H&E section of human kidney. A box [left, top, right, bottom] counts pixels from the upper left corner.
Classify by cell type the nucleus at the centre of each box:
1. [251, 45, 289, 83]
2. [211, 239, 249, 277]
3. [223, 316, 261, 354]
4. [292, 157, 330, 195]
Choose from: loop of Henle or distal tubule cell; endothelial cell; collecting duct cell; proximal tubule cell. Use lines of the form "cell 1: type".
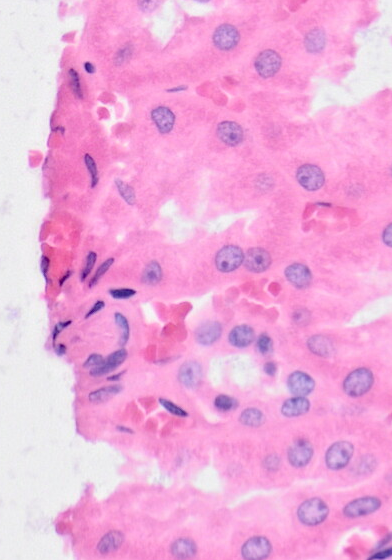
cell 1: proximal tubule cell
cell 2: proximal tubule cell
cell 3: collecting duct cell
cell 4: proximal tubule cell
